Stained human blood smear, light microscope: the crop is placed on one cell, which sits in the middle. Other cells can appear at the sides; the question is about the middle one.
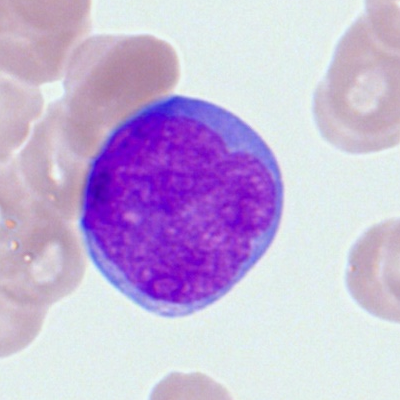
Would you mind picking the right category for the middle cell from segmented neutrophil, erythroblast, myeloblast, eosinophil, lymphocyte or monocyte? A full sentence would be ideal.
Centred in the crop is a myeloblast.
